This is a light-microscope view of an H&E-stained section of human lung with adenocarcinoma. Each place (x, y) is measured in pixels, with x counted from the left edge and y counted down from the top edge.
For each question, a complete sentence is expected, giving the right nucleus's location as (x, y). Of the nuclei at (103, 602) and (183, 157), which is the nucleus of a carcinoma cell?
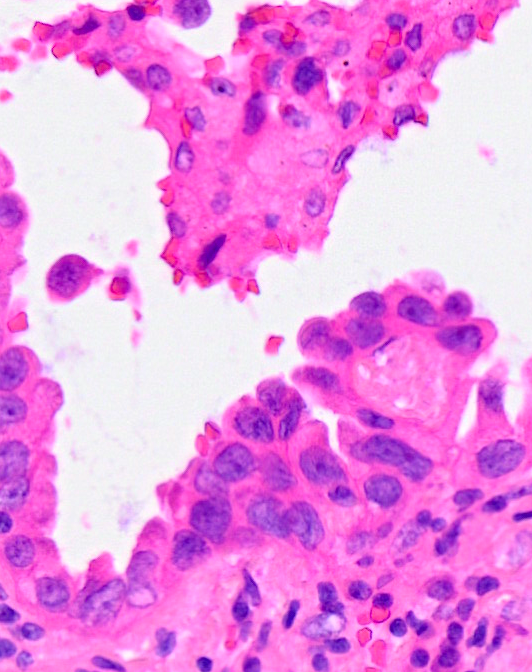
So, of the two, the nucleus at (103, 602) is the one belonging to a carcinoma cell.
